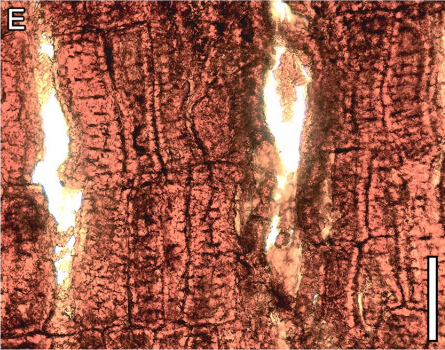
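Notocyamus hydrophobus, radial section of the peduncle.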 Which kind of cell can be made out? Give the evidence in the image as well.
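Rectangular cells lie in horizontal tiers, stacked like bricks. The cell walls are dotted with many small pits.
Conclusion: Ray cells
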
